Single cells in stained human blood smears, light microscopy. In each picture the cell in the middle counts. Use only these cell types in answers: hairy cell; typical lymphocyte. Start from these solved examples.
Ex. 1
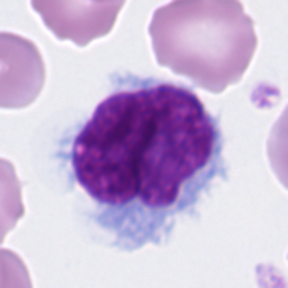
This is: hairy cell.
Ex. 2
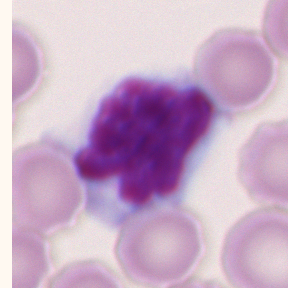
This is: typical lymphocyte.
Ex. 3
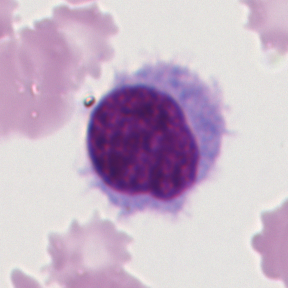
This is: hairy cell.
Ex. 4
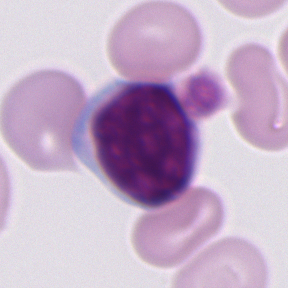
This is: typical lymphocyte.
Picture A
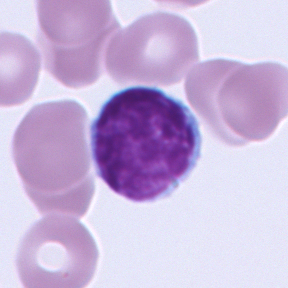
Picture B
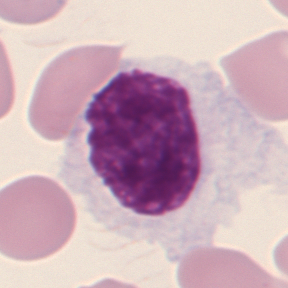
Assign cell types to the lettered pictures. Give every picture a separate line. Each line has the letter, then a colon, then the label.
A: typical lymphocyte.
B: hairy cell.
